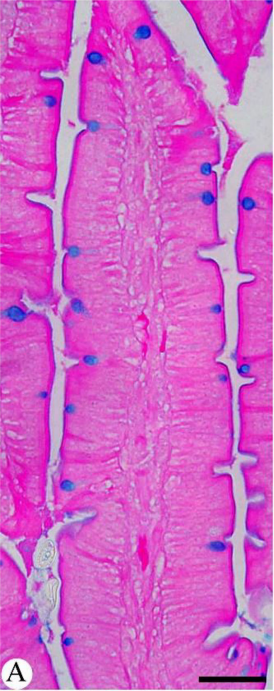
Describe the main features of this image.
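This is the small intestinal mucosa showing long, finger-like villi lined by a single layer of tall columnar absorptive cells with goblet cells scattered among them. Goblet cells appear as single rounded or flask-shaped cells stained blue, lying at intervals along the epithelial surface on both sides of the villus. A narrow pale core of connective tissue runs down the middle of the villus. Neighbouring villi are separated by clear narrow spaces.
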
